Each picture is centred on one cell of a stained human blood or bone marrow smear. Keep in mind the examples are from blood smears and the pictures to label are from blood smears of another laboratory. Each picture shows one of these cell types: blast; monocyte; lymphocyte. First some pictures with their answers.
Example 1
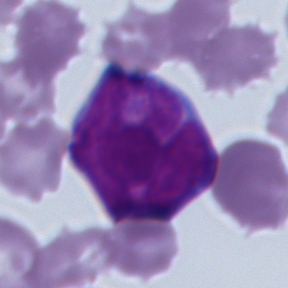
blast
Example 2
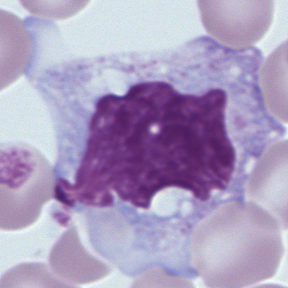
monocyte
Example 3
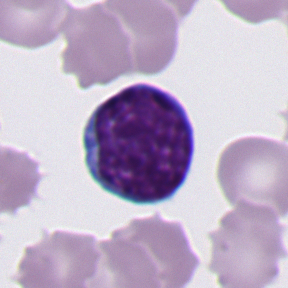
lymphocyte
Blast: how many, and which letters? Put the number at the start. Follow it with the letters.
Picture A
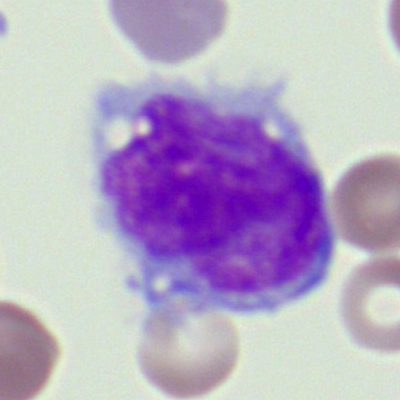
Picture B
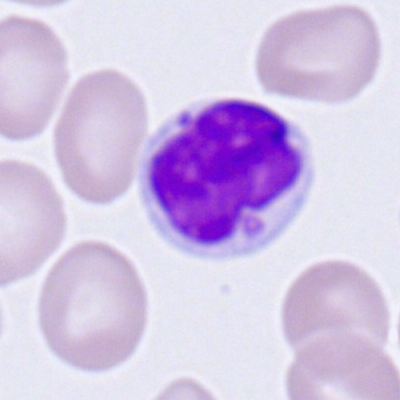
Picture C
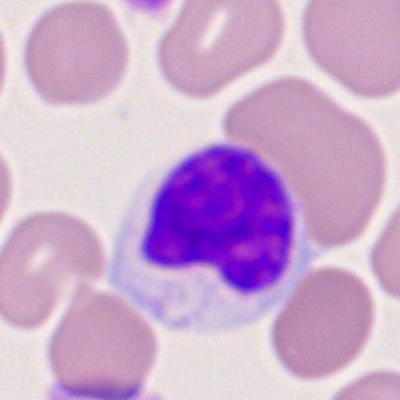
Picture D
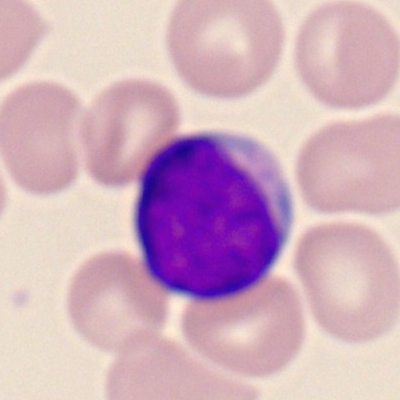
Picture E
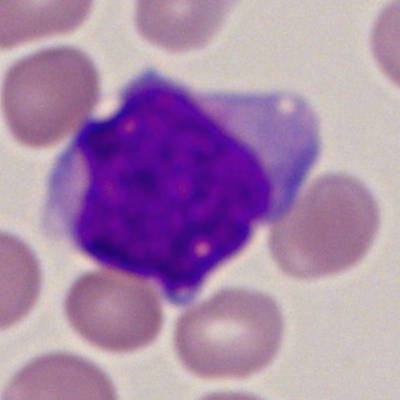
2, namely D, E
